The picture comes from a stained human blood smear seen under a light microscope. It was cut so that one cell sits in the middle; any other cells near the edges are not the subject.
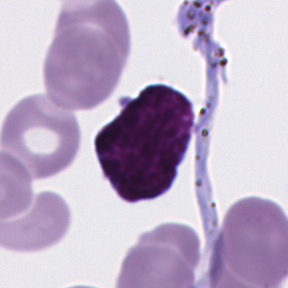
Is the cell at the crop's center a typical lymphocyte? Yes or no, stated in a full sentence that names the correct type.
No, in this crop the middle cell is a myeloblast, not a typical lymphocyte.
